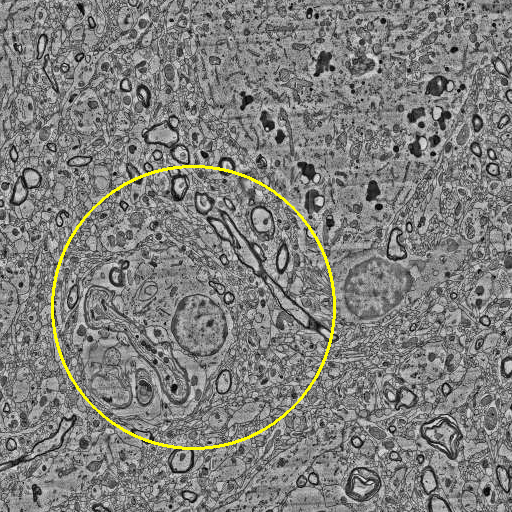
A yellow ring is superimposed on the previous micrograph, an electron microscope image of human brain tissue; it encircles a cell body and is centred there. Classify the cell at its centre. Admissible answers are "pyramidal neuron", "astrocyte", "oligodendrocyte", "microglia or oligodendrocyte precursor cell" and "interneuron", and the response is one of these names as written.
microglia or oligodendrocyte precursor cell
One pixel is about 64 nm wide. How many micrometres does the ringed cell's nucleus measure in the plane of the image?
The nucleus has a long axis of about 4 micrometres and a short axis of about 3 micrometres in this plane.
